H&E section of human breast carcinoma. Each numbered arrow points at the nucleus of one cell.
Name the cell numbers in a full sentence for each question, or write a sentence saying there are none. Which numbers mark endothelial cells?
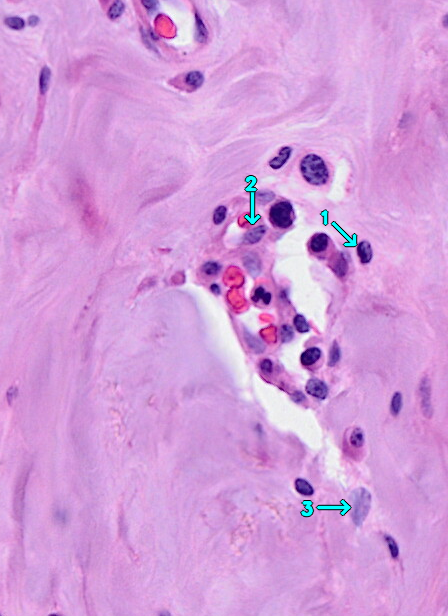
The cell marked by number 2 is an endothelial cell; the other marked cells are not.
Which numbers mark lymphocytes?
Cell 1 is a lymphocyte, and it is the only numbered cell that is.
